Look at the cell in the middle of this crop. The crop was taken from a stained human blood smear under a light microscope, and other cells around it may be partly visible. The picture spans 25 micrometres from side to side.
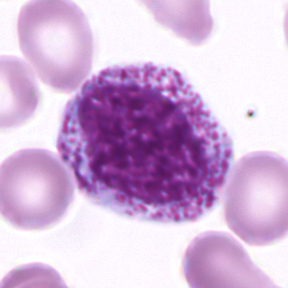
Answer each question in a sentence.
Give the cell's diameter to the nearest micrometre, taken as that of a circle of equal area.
The cell is about 14 micrometres across.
